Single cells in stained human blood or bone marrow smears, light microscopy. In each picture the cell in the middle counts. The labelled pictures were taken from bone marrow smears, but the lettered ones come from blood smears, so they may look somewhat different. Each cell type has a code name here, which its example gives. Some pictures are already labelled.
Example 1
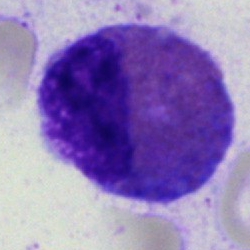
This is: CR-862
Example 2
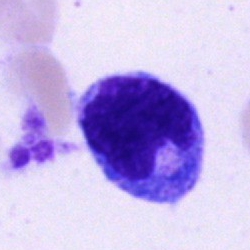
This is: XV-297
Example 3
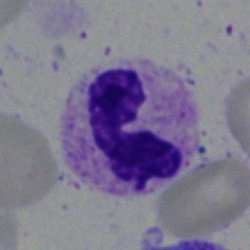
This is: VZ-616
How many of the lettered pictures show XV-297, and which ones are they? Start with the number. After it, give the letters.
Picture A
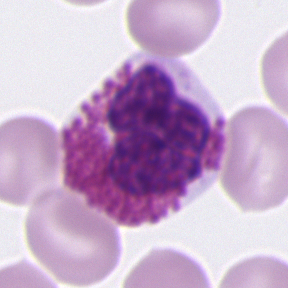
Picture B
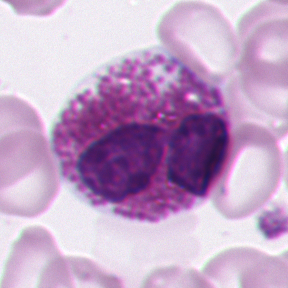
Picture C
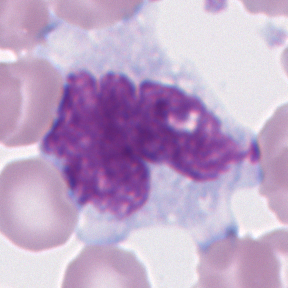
1: C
